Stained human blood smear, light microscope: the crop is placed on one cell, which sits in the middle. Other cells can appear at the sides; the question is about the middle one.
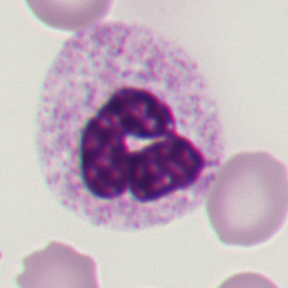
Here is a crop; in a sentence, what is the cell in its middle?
Occupying the centre of the crop is a neutrophil.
